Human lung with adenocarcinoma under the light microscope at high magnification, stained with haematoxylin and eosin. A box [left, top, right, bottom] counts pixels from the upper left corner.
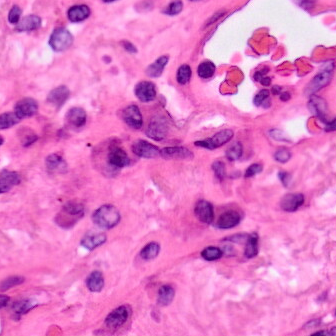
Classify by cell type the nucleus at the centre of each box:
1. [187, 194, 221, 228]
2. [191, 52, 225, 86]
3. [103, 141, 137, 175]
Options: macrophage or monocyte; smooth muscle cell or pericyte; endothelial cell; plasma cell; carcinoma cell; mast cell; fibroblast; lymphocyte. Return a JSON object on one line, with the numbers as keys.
{"1": "plasma cell", "2": "lymphocyte", "3": "plasma cell"}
